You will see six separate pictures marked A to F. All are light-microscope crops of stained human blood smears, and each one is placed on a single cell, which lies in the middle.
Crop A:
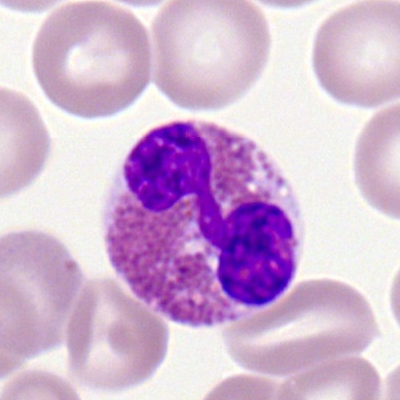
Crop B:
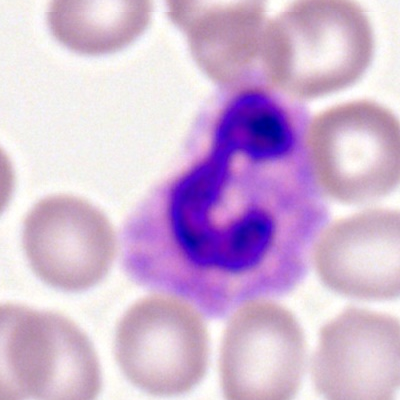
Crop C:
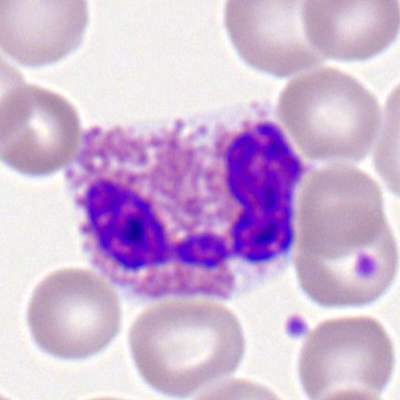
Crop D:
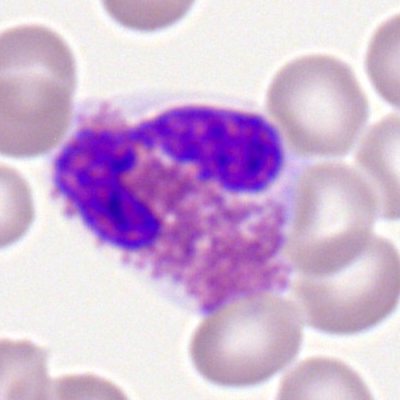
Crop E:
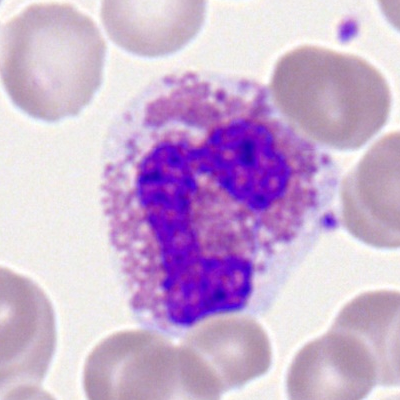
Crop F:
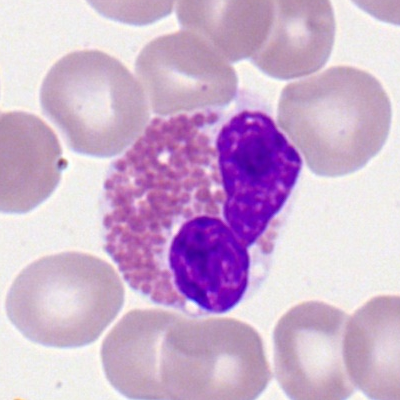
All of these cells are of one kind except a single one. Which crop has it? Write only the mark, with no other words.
B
